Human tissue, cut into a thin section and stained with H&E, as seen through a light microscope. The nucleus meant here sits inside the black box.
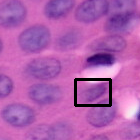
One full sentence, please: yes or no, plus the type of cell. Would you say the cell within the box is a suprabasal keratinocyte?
No, it is a basal keratinocyte, not a suprabasal keratinocyte, that the cell within the box represents.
